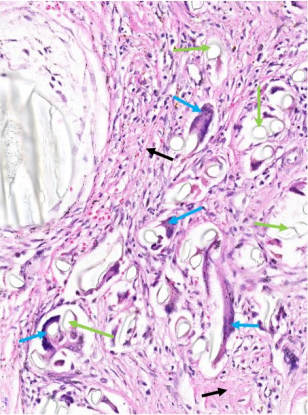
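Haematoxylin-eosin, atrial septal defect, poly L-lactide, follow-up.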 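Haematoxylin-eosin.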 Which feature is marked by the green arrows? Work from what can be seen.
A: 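Clear, glassy, unstained fragments with sharp outlines are scattered in the tissue. The fragments are surrounded by cells and fibrous stroma.
Conclusion: occluder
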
